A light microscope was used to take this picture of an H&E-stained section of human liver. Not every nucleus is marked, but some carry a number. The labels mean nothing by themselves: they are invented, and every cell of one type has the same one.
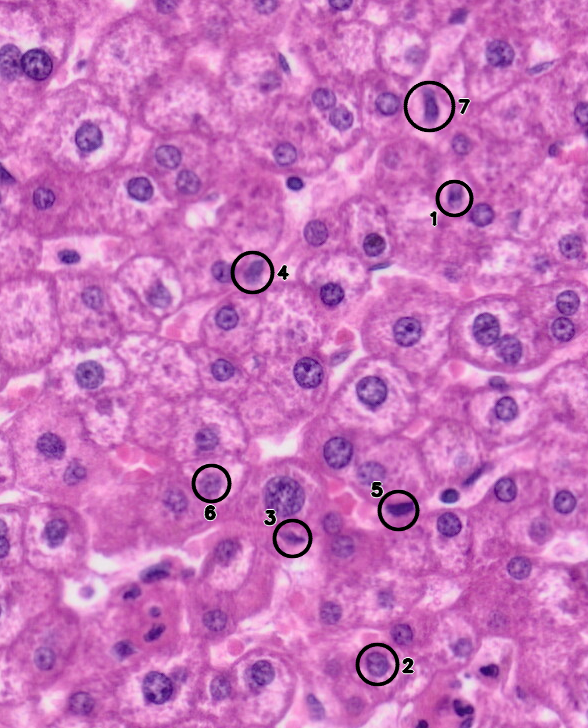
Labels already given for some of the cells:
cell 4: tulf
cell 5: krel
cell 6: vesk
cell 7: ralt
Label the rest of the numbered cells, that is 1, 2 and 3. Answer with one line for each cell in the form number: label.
1: ralt
2: vesk
3: tulf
